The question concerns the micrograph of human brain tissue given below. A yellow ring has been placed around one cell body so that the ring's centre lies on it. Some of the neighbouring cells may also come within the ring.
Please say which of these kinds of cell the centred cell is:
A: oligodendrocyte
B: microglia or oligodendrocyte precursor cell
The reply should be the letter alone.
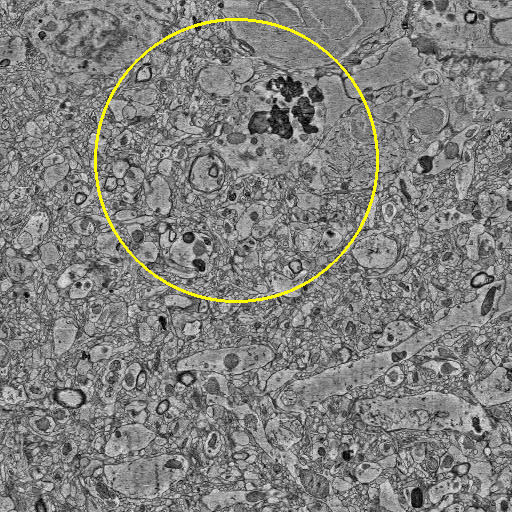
A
